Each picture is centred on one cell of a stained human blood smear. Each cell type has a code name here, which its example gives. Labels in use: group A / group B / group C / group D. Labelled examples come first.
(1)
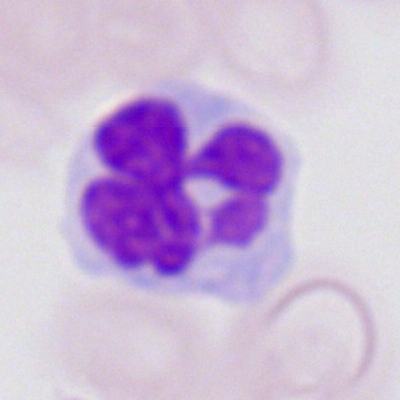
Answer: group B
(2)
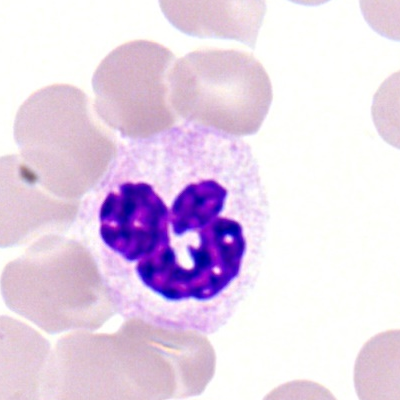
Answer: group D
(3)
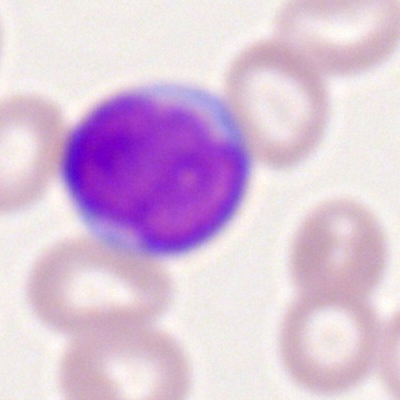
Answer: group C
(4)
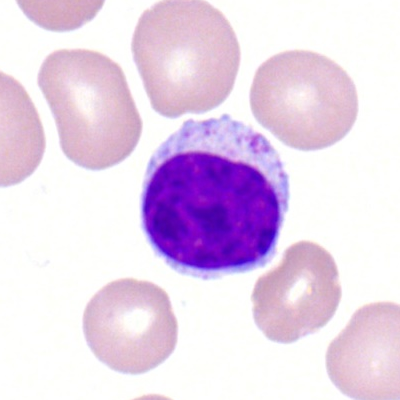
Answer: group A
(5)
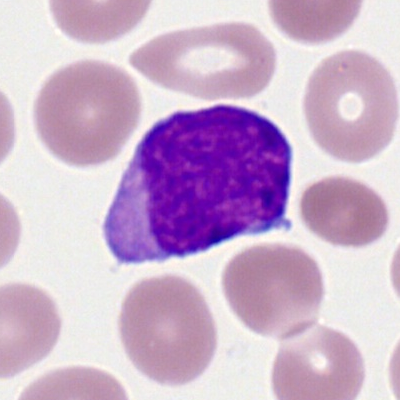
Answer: group C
